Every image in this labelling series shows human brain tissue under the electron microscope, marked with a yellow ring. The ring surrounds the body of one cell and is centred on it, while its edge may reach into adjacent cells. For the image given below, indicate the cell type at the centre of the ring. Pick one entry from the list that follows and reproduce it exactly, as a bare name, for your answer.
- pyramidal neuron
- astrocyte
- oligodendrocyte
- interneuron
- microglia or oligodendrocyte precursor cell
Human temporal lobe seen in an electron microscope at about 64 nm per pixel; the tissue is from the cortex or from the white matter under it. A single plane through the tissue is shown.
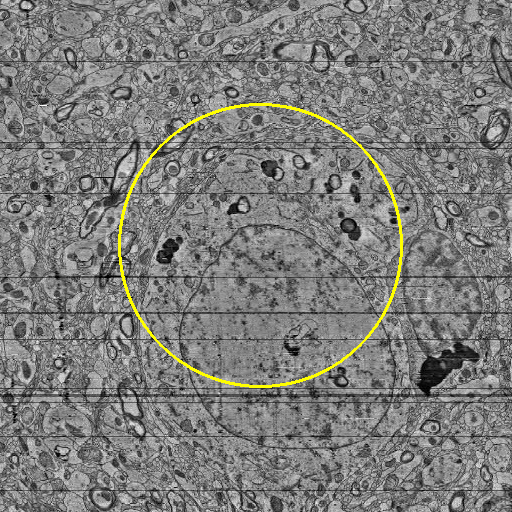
pyramidal neuron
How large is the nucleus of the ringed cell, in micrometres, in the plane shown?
About 16 by 13 micrometres in this plane.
